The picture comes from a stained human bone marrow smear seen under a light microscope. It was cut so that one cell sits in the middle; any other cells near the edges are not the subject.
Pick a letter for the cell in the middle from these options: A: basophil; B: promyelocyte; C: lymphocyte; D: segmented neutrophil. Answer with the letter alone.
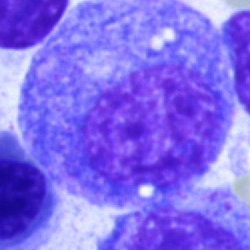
B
